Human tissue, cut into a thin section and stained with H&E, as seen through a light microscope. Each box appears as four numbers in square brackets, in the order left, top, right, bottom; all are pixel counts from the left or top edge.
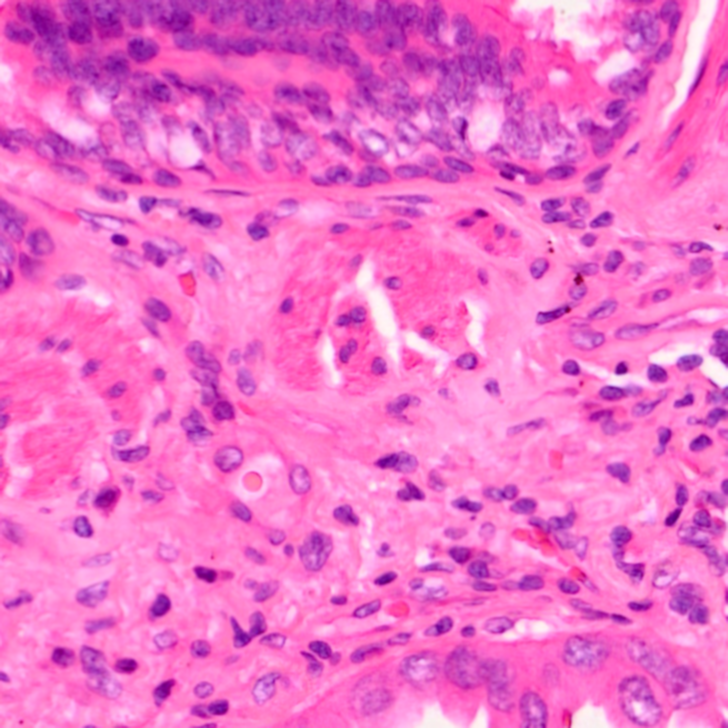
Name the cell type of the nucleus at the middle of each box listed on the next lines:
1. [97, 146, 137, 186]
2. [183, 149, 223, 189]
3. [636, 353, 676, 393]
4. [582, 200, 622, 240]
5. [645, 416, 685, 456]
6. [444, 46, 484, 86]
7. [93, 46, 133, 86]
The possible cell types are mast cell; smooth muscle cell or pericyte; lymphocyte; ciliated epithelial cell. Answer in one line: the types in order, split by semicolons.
ciliated epithelial cell; ciliated epithelial cell; lymphocyte; lymphocyte; lymphocyte; ciliated epithelial cell; ciliated epithelial cell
